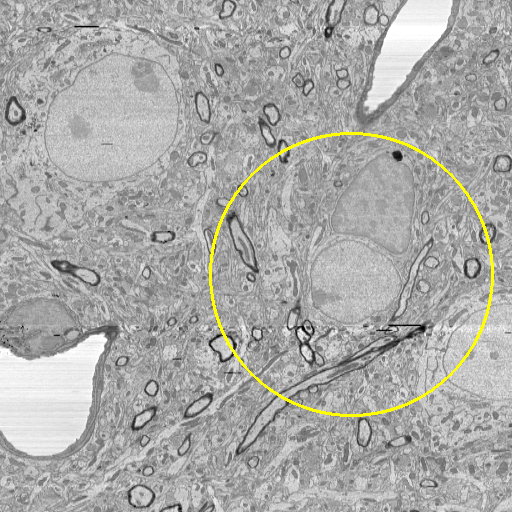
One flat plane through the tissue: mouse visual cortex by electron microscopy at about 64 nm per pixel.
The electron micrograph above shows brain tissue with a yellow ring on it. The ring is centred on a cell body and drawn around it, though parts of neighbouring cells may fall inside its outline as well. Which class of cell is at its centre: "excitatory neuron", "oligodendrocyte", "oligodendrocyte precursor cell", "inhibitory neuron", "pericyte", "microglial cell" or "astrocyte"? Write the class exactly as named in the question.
oligodendrocyte precursor cell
